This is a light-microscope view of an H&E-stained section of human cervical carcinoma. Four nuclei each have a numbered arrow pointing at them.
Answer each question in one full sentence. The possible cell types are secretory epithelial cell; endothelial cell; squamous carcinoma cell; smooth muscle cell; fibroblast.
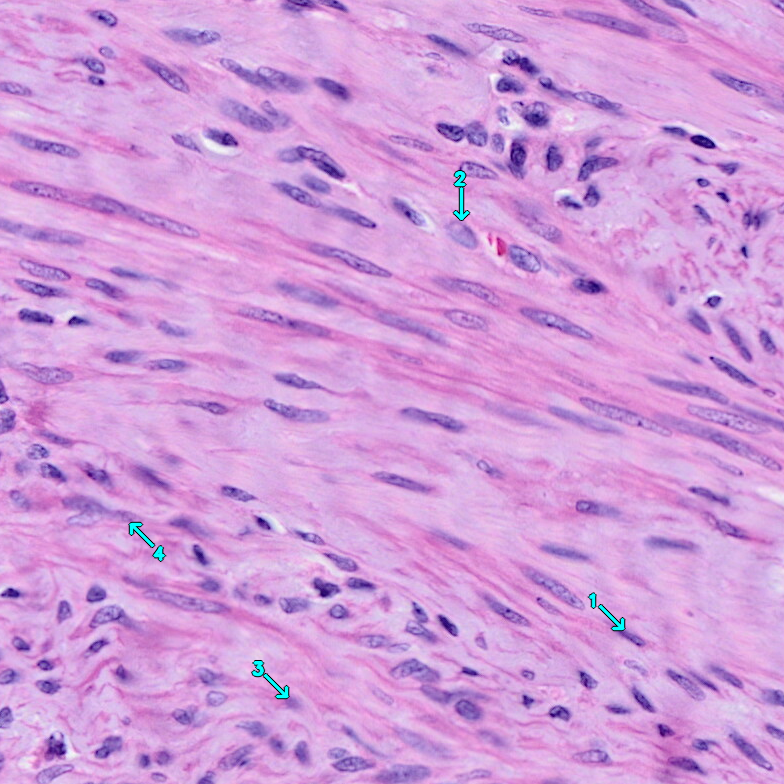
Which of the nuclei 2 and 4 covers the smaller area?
Nucleus 4 covers less area, with nucleus 2 about 2 times as large.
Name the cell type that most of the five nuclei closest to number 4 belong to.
The majority of the five nuclei closest to number 4 belong to smooth muscle cells.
